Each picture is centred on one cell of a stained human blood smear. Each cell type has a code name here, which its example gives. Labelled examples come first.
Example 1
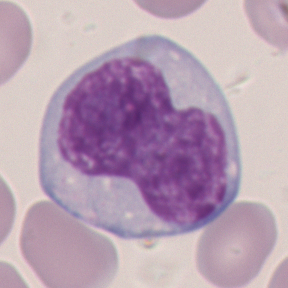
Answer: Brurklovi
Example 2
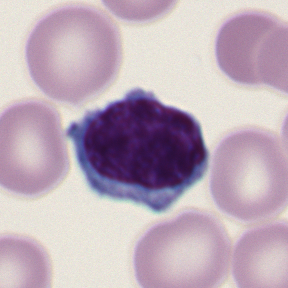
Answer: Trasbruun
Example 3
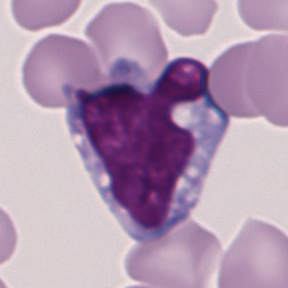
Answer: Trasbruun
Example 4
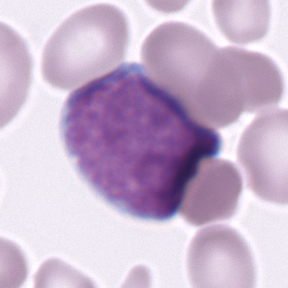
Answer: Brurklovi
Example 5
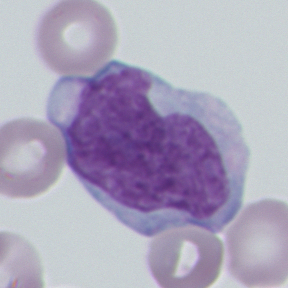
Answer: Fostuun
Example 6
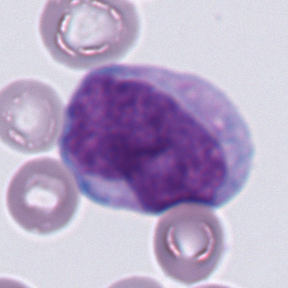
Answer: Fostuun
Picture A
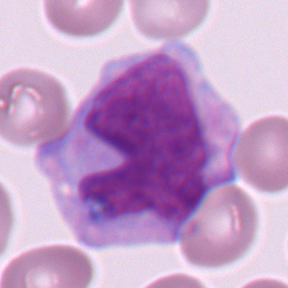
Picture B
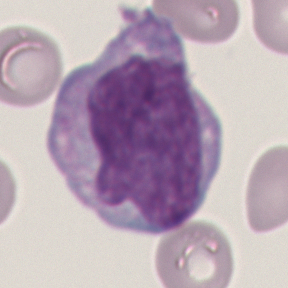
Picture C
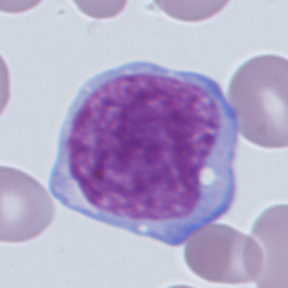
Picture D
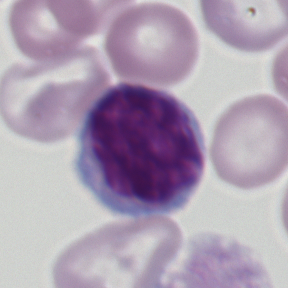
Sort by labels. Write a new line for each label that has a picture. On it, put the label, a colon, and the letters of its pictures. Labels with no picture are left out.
Brurklovi: C
Trasbruun: D
Fostuun: A, B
